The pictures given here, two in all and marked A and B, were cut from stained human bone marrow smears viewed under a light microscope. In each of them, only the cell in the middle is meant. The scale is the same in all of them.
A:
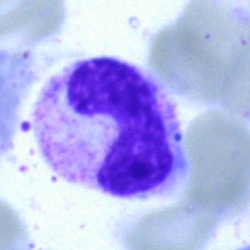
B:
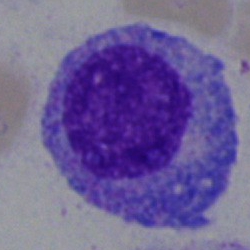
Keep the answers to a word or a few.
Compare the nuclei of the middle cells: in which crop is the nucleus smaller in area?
A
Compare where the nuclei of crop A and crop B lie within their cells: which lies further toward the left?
B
